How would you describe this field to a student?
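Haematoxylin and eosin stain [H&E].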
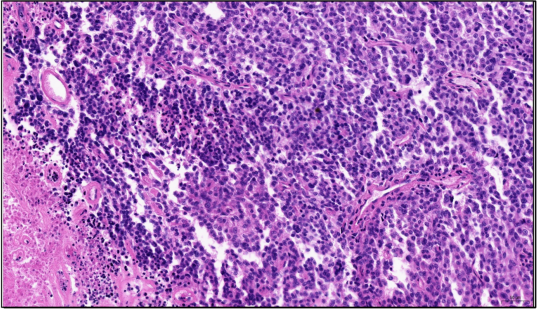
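The tumour cells lie in dense sheets and loose bands, with dark purple nuclei that are crowded and vary in size. Many of the cells have a rim of pink cytoplasm and lie somewhat apart from one another, giving a loosely cohesive look. Numerous small blood vessels with pink walls run through the sheets of cells. At the lower left the tissue turns pale pink and less cellular, with scattered dark nuclear fragments at its border.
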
